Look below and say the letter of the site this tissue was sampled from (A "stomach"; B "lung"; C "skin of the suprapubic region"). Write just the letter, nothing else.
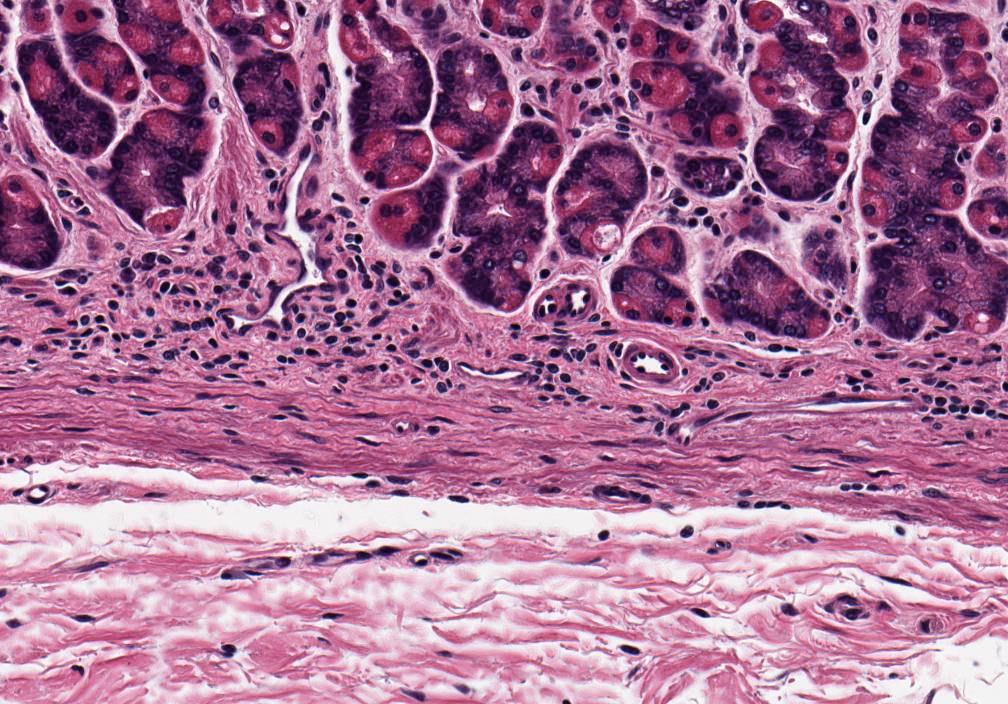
A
